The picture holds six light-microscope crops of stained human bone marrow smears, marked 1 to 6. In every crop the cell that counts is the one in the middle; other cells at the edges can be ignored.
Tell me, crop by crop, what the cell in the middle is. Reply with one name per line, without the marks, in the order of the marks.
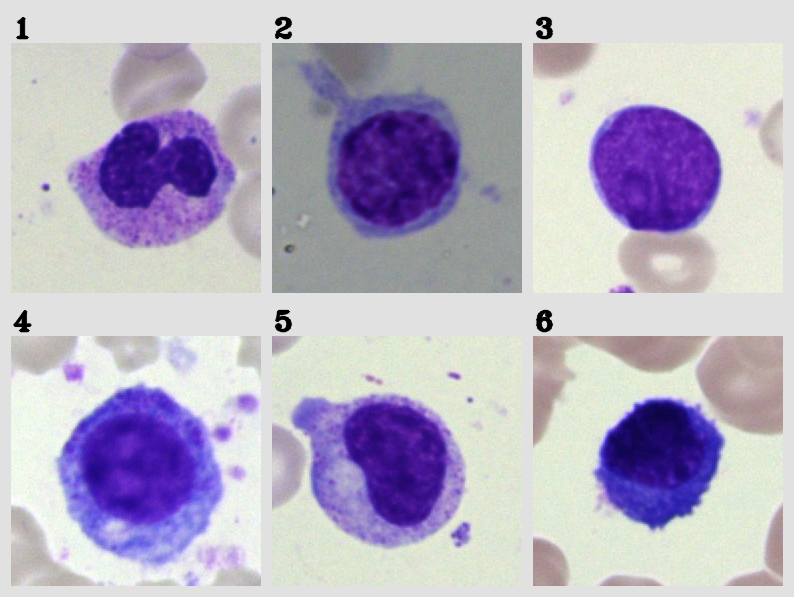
segmented neutrophil
hairy cell
blast
promyelocyte
metamyelocyte
plasma cell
